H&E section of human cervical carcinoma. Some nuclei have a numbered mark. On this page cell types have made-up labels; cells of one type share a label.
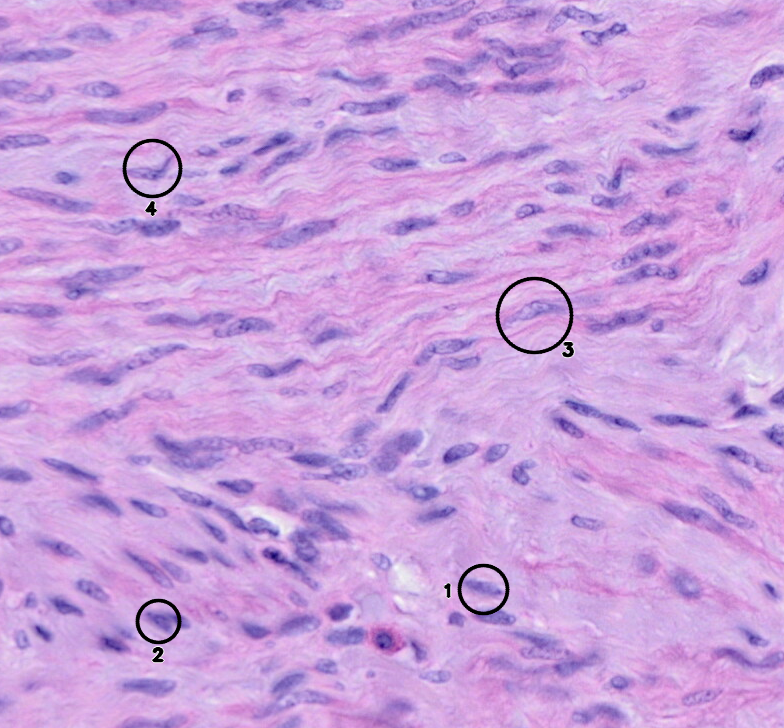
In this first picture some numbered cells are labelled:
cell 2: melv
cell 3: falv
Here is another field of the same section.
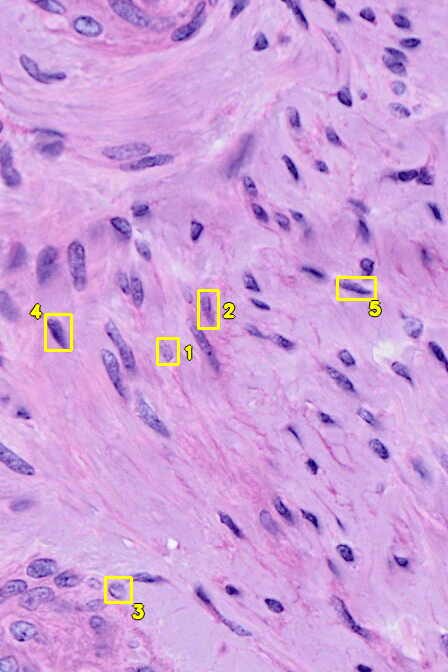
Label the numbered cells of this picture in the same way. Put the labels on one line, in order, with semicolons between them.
falv; falv; falv; melv; melv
